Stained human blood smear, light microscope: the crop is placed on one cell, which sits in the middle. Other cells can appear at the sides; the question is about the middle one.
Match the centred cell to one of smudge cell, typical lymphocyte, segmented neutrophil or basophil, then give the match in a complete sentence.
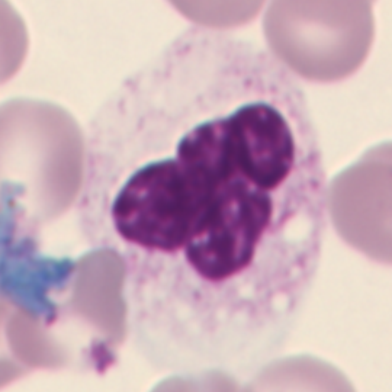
What the crop centres on is a segmented neutrophil.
